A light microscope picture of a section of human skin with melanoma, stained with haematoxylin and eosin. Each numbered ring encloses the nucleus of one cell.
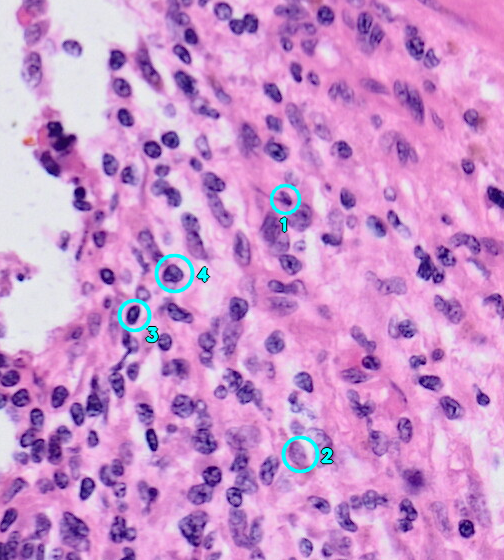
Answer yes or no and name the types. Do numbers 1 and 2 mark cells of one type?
No, cell 1 is a lymphocyte and cell 2 is a macrophage or monocyte.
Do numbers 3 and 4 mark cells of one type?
Yes, both are lymphocytes.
